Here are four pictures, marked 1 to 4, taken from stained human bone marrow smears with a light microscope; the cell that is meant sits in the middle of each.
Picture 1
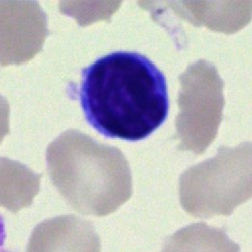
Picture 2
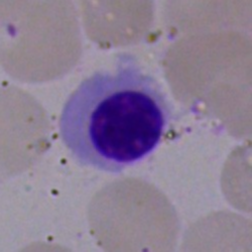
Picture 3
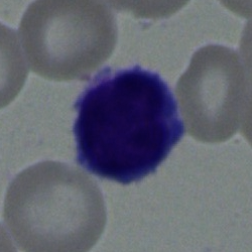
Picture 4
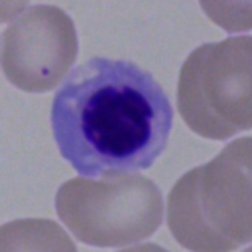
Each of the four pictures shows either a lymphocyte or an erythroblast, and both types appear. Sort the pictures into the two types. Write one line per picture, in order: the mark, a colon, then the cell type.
1: lymphocyte
2: erythroblast
3: lymphocyte
4: erythroblast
